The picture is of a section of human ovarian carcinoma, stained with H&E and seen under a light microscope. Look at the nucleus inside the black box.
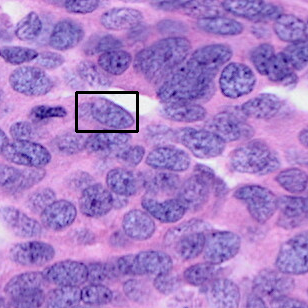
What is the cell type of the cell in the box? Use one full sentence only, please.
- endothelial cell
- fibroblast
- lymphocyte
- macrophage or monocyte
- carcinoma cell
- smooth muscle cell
As a matter of cell type, the cell in the box is a carcinoma cell.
